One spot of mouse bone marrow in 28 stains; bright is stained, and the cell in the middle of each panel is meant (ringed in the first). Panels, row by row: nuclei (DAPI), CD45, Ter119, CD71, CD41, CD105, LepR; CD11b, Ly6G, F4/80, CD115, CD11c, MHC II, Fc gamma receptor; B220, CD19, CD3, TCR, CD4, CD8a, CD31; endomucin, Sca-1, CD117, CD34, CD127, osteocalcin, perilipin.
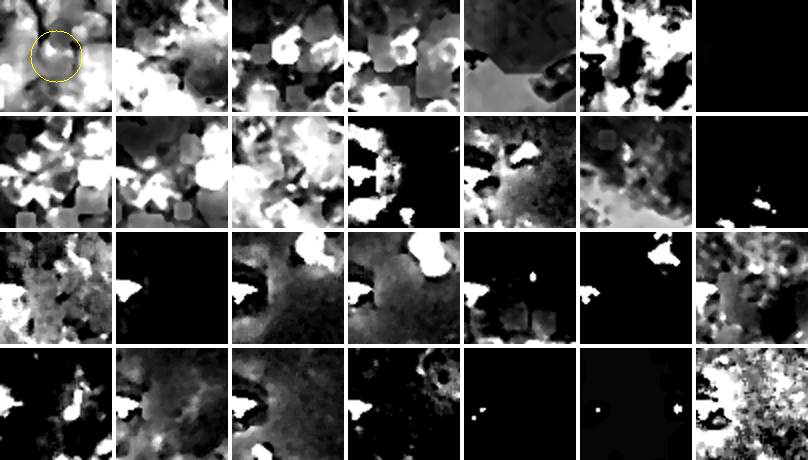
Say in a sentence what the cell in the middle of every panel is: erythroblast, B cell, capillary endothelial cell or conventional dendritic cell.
This is a conventional dendritic cell.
